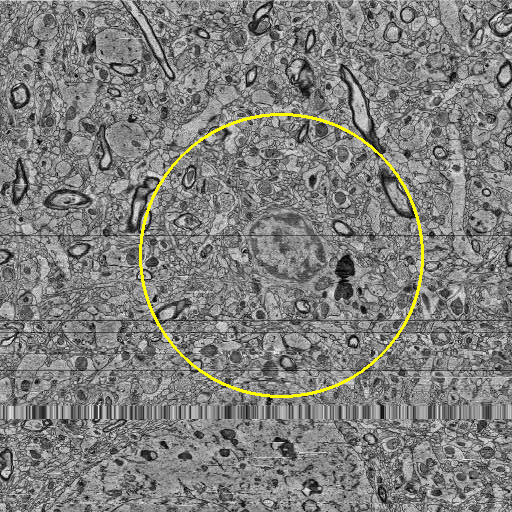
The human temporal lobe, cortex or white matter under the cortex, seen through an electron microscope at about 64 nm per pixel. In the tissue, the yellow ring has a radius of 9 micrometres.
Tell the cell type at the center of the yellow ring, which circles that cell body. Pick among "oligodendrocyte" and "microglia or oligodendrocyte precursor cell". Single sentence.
The ring is centered on the body of an oligodendrocyte.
